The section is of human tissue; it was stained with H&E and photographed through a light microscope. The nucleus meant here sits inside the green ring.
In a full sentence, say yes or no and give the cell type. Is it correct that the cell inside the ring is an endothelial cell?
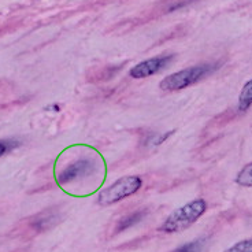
No, the cell inside the ring is described as a smooth muscle cell and not as an endothelial cell.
